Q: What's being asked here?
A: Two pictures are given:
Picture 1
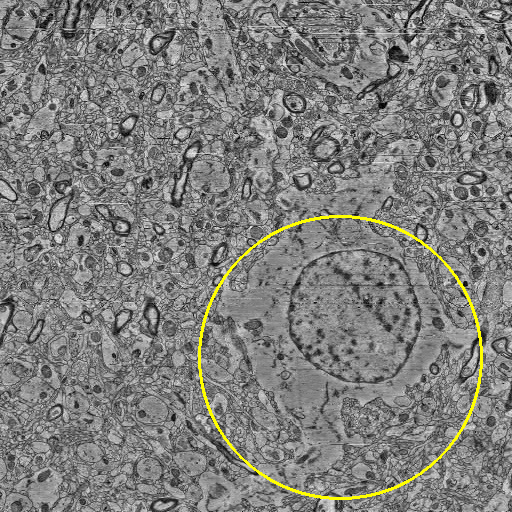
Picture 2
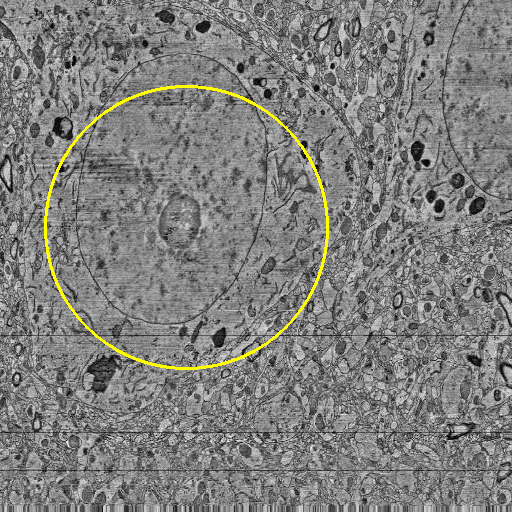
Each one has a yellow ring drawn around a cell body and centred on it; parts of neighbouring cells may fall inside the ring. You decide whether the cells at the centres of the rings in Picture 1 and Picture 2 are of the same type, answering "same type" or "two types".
two types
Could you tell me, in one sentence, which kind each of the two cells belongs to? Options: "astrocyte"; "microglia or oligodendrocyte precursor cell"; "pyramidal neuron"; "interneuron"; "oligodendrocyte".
At the centre of the first ring sits an astrocyte, and at the centre of the second sits a pyramidal neuron.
